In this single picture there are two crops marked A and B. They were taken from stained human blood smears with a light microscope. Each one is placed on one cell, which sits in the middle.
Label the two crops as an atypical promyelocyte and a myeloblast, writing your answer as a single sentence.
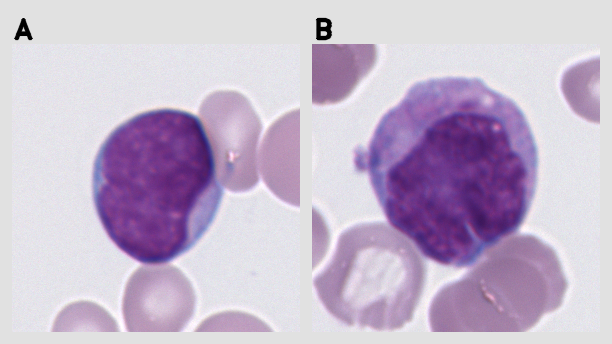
The cell at the middle is a myeloblast in crop A, but an atypical promyelocyte in crop B.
